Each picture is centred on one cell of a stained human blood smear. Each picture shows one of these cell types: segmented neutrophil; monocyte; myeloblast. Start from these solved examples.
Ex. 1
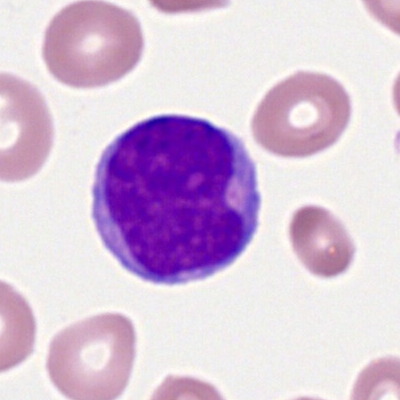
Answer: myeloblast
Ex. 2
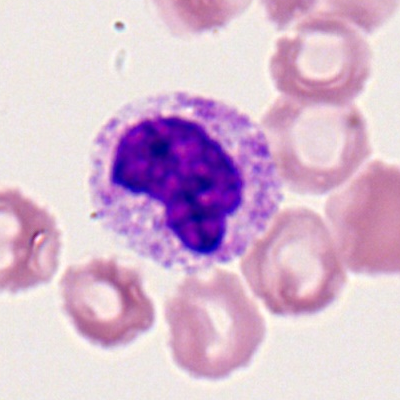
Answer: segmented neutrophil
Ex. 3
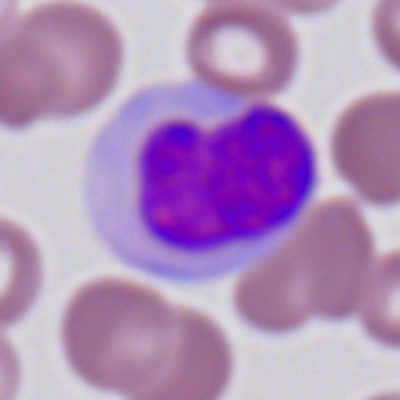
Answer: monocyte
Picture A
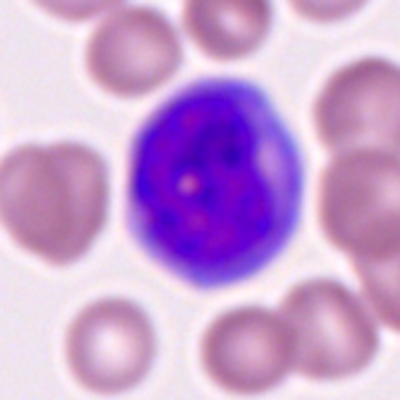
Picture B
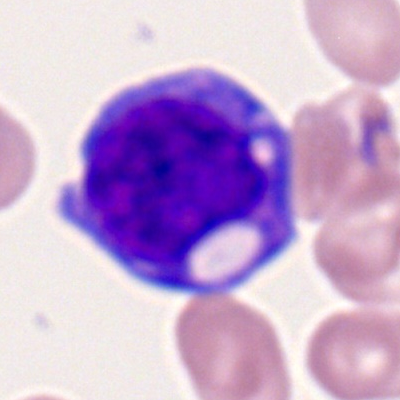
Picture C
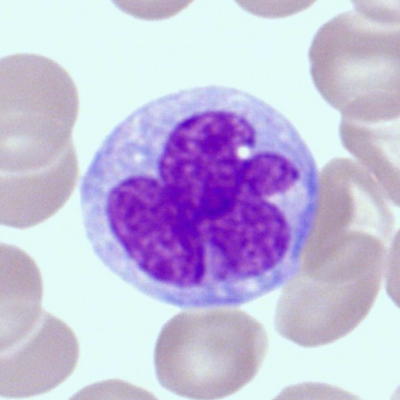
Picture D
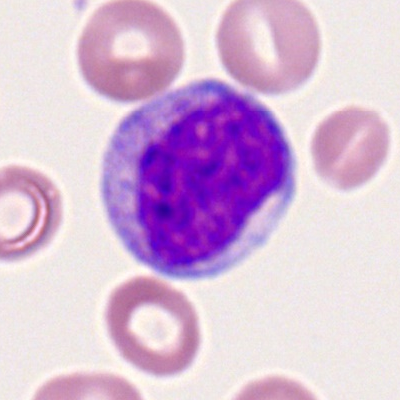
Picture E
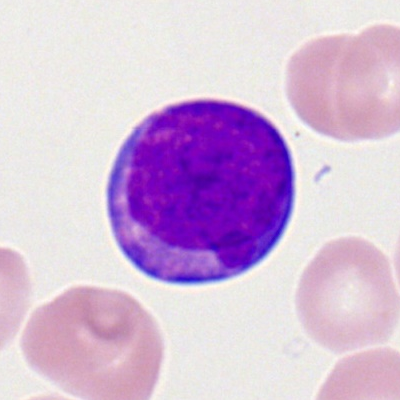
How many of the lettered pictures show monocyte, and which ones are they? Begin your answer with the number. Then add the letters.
3: A, C, D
